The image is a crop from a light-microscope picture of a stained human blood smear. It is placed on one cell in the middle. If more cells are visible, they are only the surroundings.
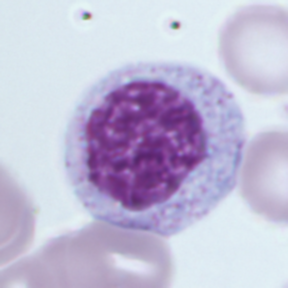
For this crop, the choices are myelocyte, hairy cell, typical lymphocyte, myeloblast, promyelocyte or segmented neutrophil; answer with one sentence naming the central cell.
The cell in the exact centre of the crop is a myelocyte.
